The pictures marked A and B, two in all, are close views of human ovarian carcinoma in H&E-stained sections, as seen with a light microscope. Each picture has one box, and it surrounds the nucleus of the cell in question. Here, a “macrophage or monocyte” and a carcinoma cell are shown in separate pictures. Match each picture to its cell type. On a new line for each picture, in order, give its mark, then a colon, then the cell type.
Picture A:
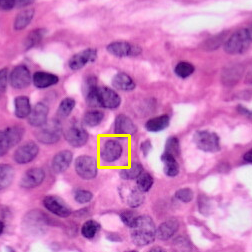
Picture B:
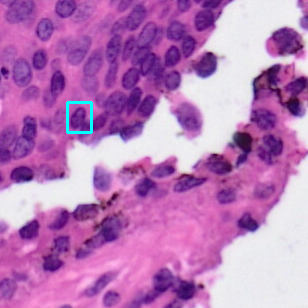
A: macrophage or monocyte
B: carcinoma cell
